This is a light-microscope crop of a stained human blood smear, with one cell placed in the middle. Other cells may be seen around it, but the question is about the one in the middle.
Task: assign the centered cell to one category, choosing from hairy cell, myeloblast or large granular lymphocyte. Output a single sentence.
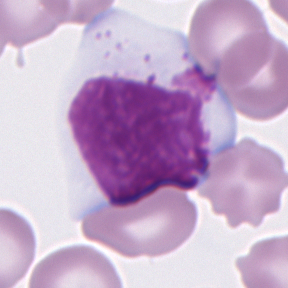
By classification, the middle cell of this crop is a large granular lymphocyte.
